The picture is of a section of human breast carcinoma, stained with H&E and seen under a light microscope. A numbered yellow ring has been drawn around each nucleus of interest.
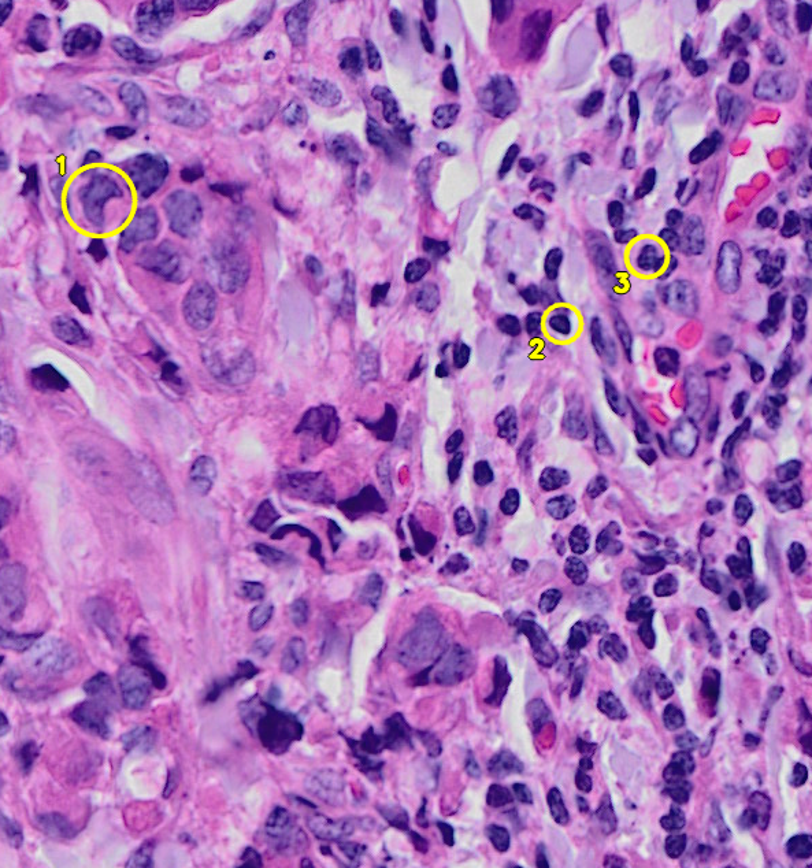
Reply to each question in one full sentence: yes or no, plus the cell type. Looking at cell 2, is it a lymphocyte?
Yes, the cell with the number 2 is a lymphocyte.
